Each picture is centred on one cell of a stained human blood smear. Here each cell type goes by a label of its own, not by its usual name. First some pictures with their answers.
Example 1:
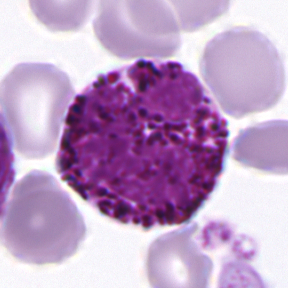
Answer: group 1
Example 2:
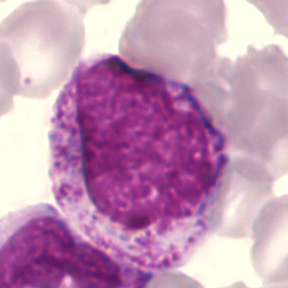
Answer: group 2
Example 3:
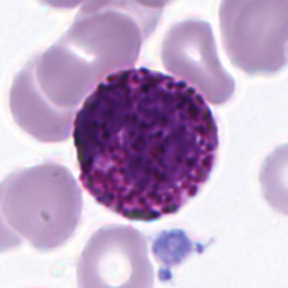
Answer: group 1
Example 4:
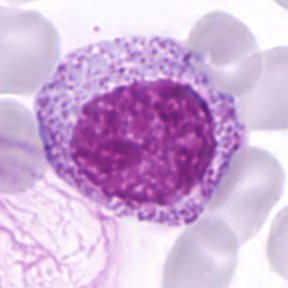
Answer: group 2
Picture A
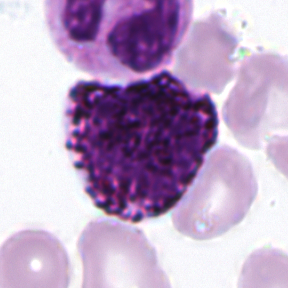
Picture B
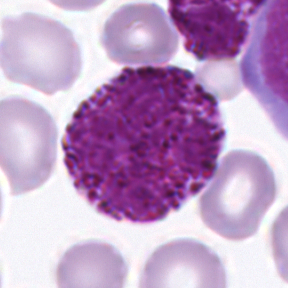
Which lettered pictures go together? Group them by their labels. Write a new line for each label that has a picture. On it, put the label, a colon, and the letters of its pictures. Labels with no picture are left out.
group 1: A, B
